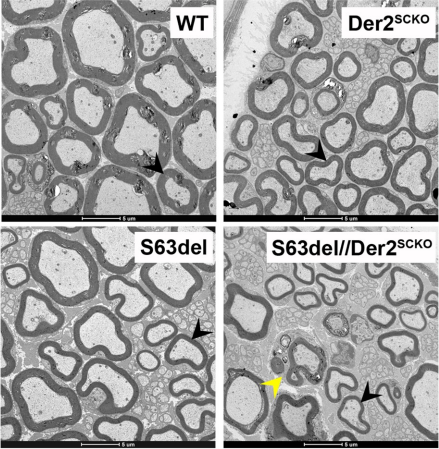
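These are cross-sections of peripheral nerve showing myelinated axons of many sizes. Each axon appears as a pale, round or somewhat irregular profile surrounded by a dark, electron-dense ring of myelin. Between the large fibres lie clusters of much smaller pale profiles embedded in a grey matrix. The thickness of the dark rings relative to the axon size differs between the four quadrants, and in the lower quadrants many rings look thin for their axons. In the lower right quadrant one cell holds irregular dark material instead of a regular ring around an axon.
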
